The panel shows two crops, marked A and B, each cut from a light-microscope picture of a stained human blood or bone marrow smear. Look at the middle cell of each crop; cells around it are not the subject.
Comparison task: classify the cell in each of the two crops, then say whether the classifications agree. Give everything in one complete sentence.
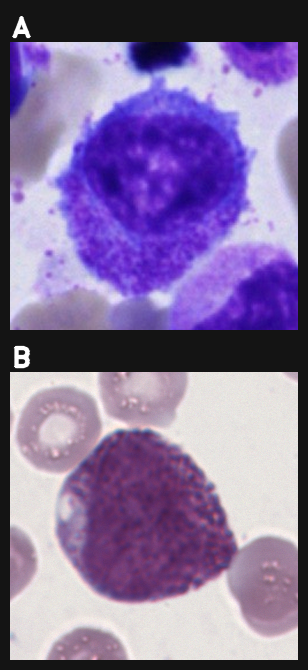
Yes, promyelocytes are present at the centre of both crops.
